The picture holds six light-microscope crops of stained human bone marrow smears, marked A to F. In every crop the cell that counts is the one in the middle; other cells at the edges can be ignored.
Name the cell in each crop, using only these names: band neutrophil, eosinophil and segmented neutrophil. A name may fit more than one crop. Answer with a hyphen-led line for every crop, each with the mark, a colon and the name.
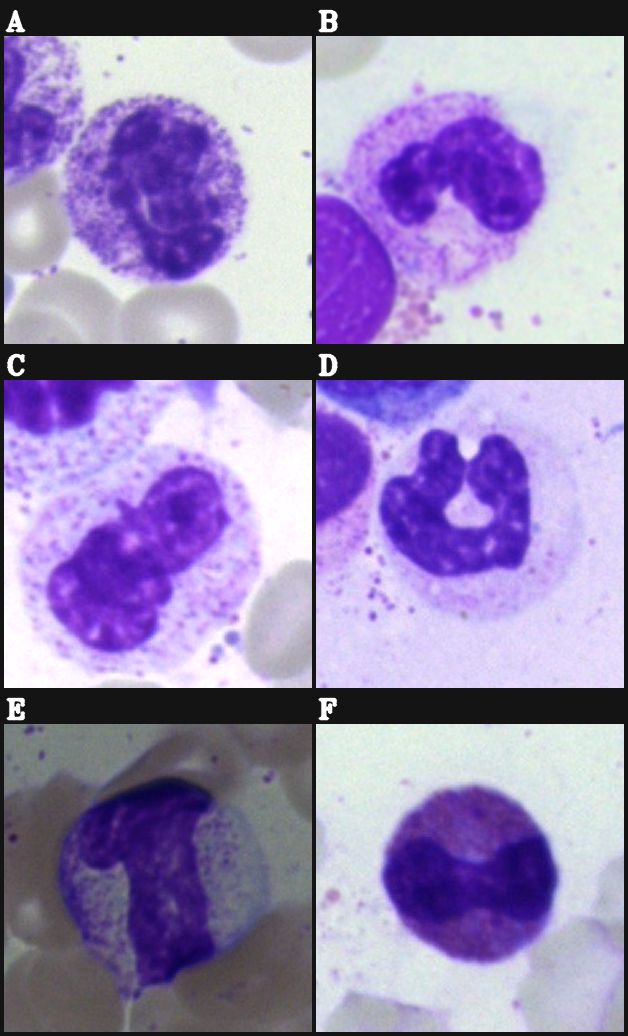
- A: segmented neutrophil
- B: segmented neutrophil
- C: band neutrophil
- D: segmented neutrophil
- E: band neutrophil
- F: eosinophil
